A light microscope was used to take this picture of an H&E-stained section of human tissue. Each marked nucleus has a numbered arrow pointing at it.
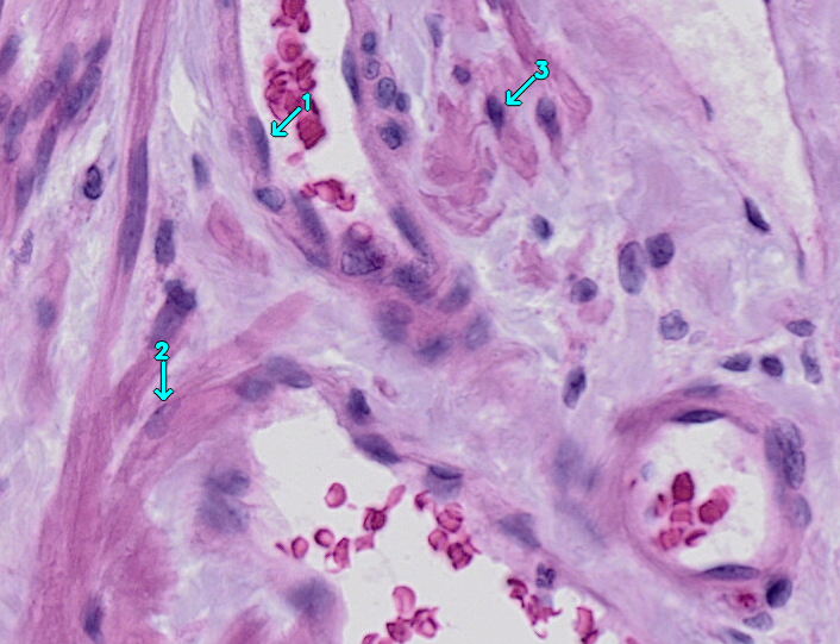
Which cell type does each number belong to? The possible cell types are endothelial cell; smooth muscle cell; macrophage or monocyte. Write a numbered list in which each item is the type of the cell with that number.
1. endothelial cell
2. smooth muscle cell
3. smooth muscle cell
